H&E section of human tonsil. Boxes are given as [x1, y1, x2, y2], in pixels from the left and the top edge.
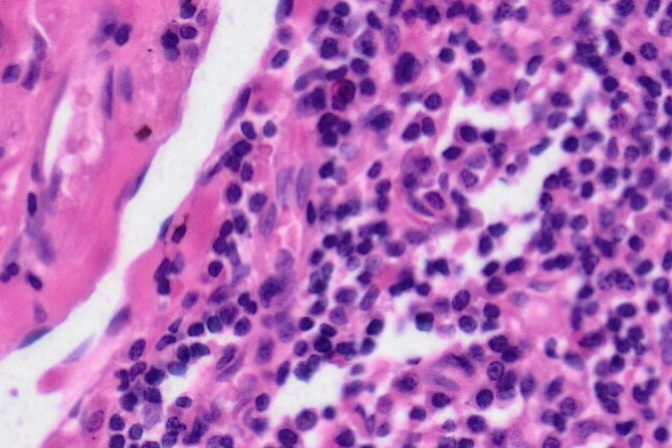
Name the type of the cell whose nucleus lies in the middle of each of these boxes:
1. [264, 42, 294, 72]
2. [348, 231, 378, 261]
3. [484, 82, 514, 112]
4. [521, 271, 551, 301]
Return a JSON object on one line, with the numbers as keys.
{"1": "mast cell", "2": "small lymphocyte", "3": "plasma cell", "4": "endothelial cell"}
